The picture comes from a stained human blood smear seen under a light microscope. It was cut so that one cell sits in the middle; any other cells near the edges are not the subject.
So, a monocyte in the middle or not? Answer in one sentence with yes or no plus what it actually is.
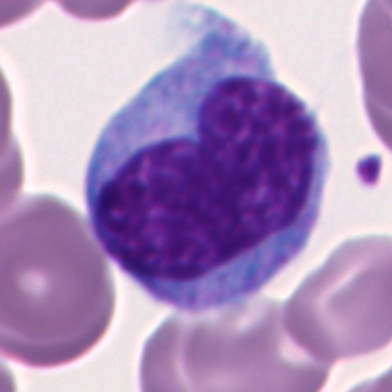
Yes, in the middle of the crop is a monocyte.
